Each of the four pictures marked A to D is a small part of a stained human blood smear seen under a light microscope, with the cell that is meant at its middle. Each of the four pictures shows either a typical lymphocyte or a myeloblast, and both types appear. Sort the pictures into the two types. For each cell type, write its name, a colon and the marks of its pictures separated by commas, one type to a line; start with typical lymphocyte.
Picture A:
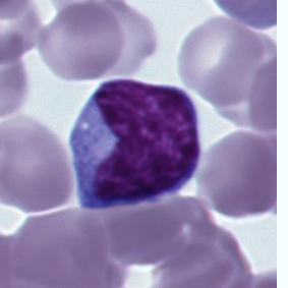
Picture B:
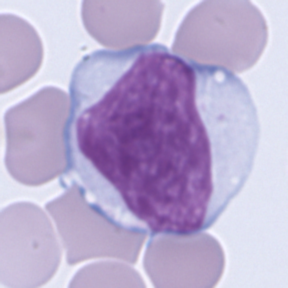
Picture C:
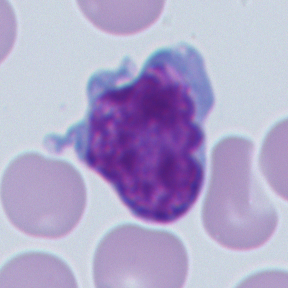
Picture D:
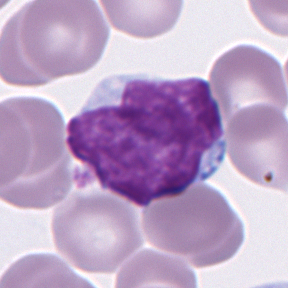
typical lymphocyte: A, C, D
myeloblast: B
